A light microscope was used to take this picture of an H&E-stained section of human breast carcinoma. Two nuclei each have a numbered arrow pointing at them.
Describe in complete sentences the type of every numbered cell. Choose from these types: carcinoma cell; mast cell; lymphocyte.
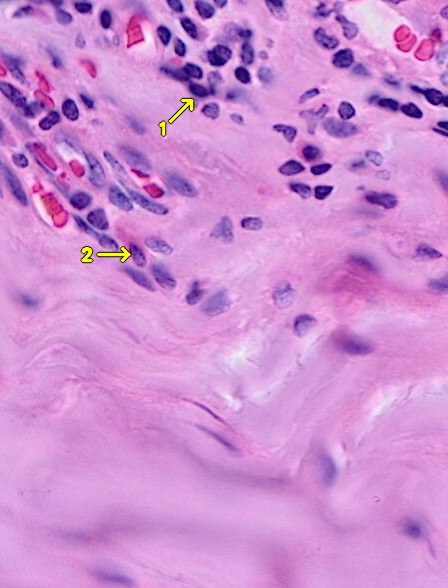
Cell 1 is a lymphocyte. Cell 2 is a mast cell.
